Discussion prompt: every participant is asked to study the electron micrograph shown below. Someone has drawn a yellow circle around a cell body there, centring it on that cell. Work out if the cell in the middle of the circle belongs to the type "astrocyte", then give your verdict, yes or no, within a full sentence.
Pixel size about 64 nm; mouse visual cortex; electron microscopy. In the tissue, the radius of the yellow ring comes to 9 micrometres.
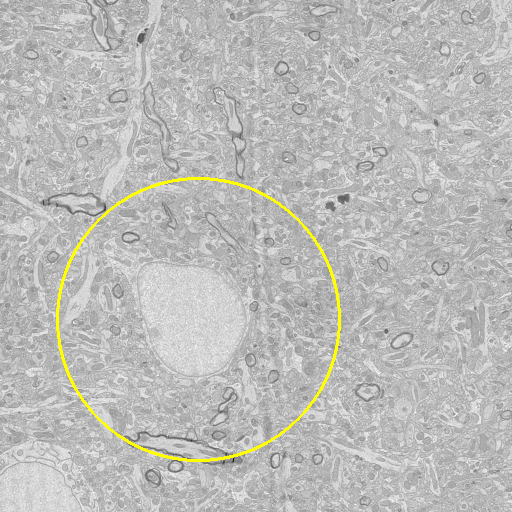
Yes, my verdict is that the cell in the circle's centre is of that type.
